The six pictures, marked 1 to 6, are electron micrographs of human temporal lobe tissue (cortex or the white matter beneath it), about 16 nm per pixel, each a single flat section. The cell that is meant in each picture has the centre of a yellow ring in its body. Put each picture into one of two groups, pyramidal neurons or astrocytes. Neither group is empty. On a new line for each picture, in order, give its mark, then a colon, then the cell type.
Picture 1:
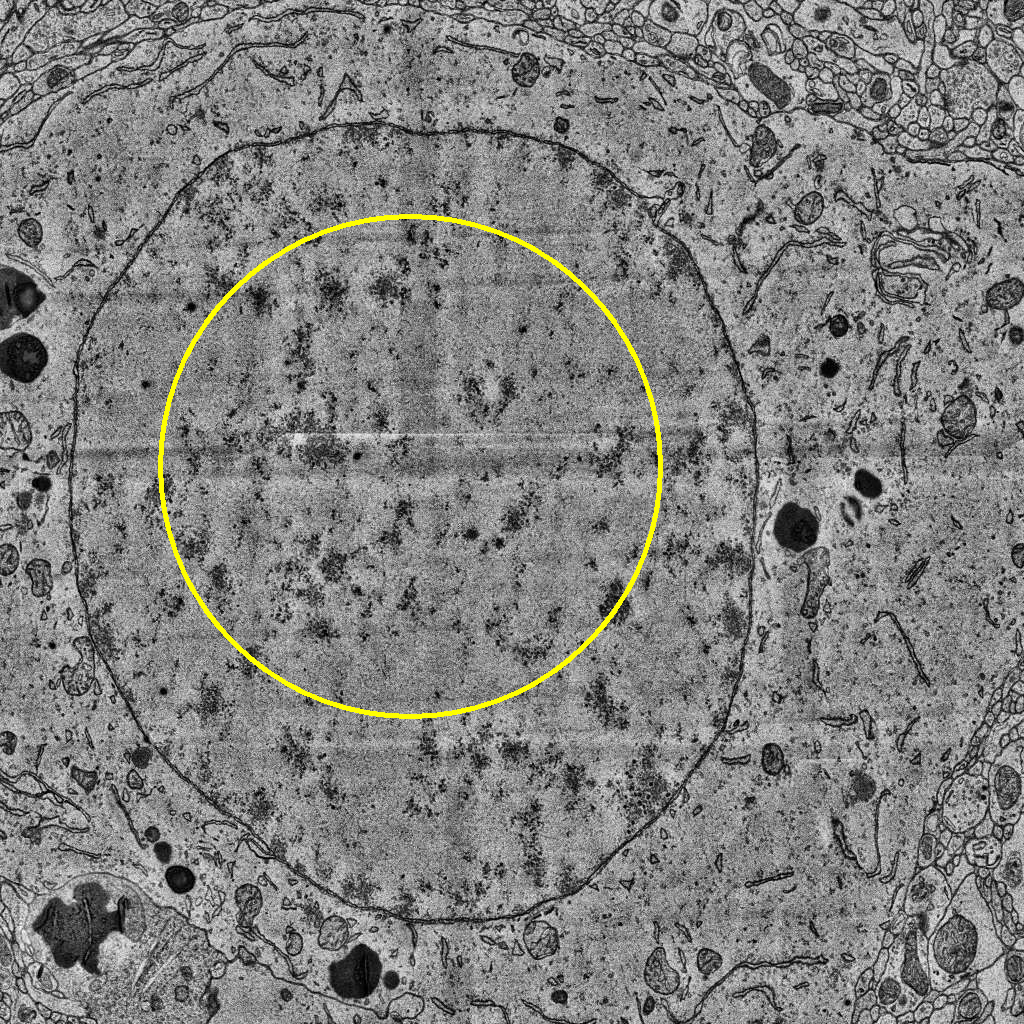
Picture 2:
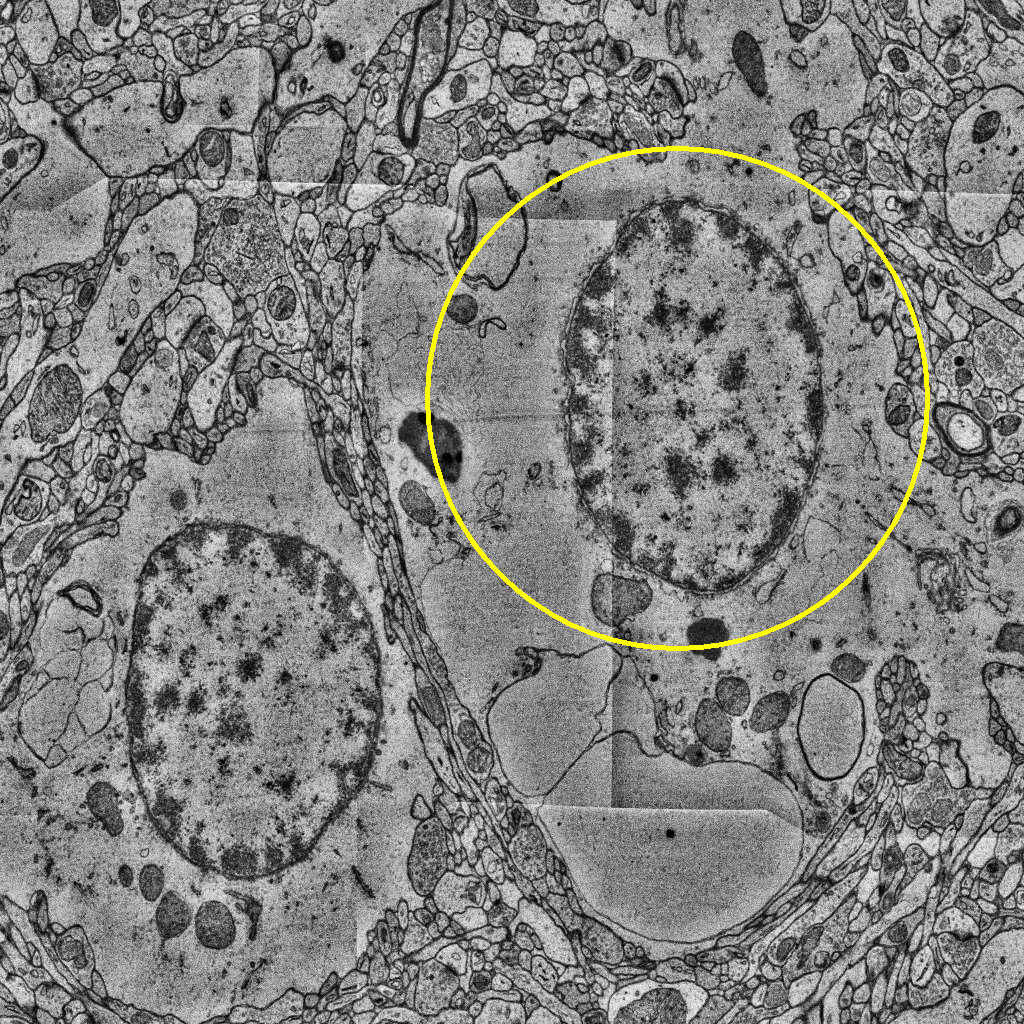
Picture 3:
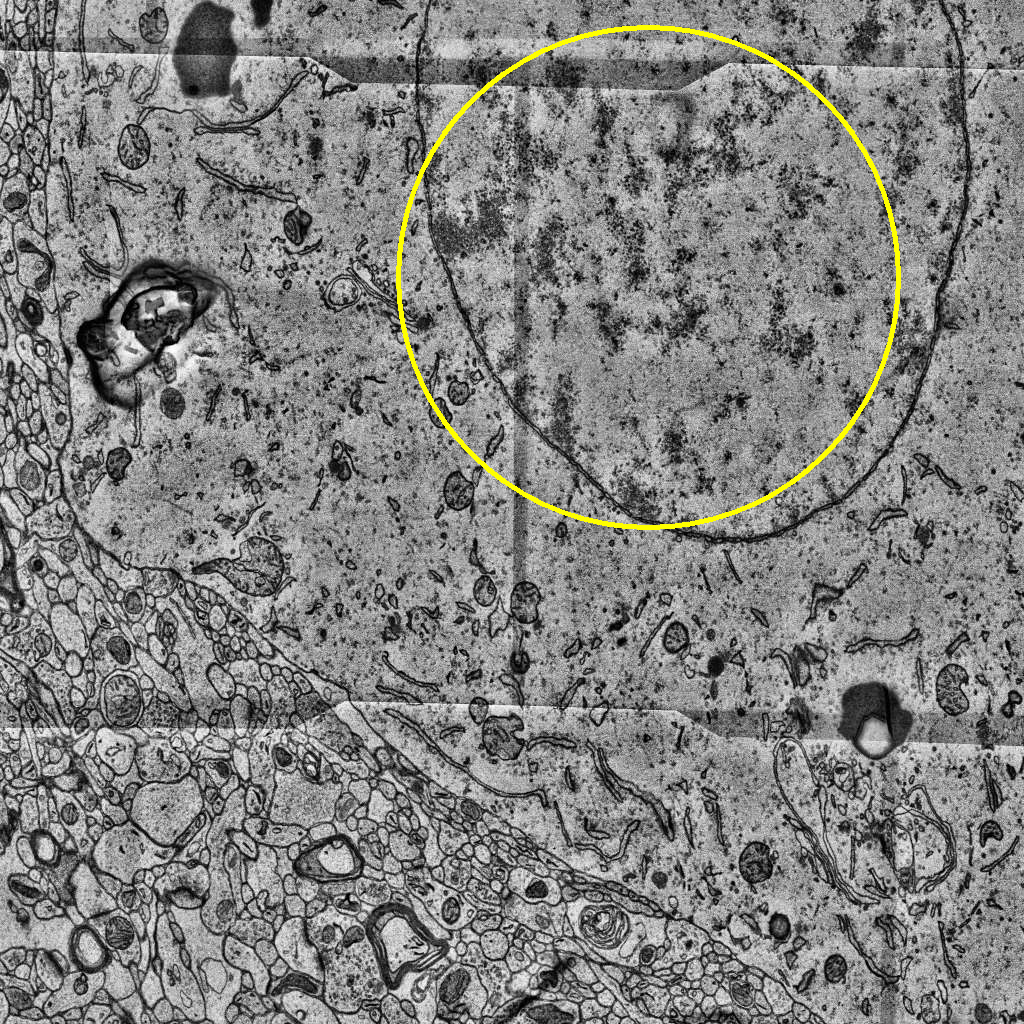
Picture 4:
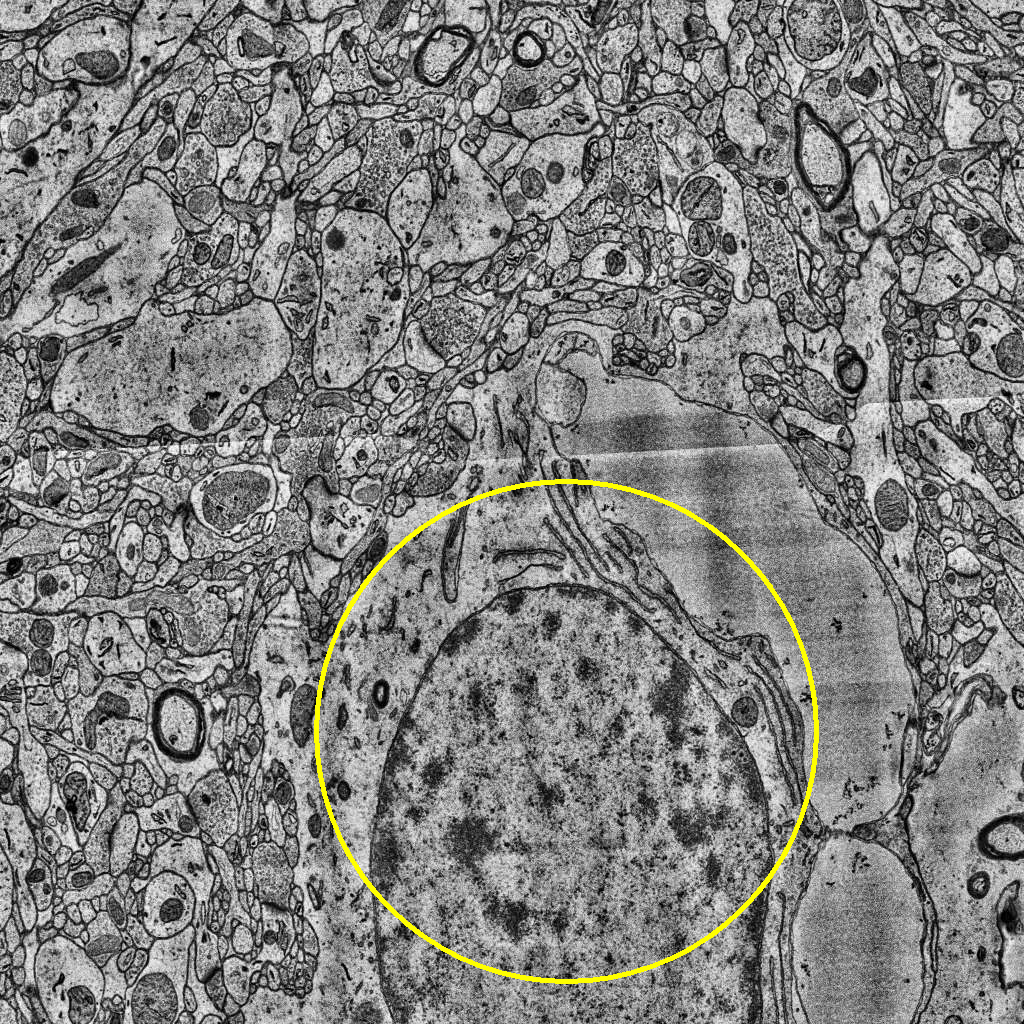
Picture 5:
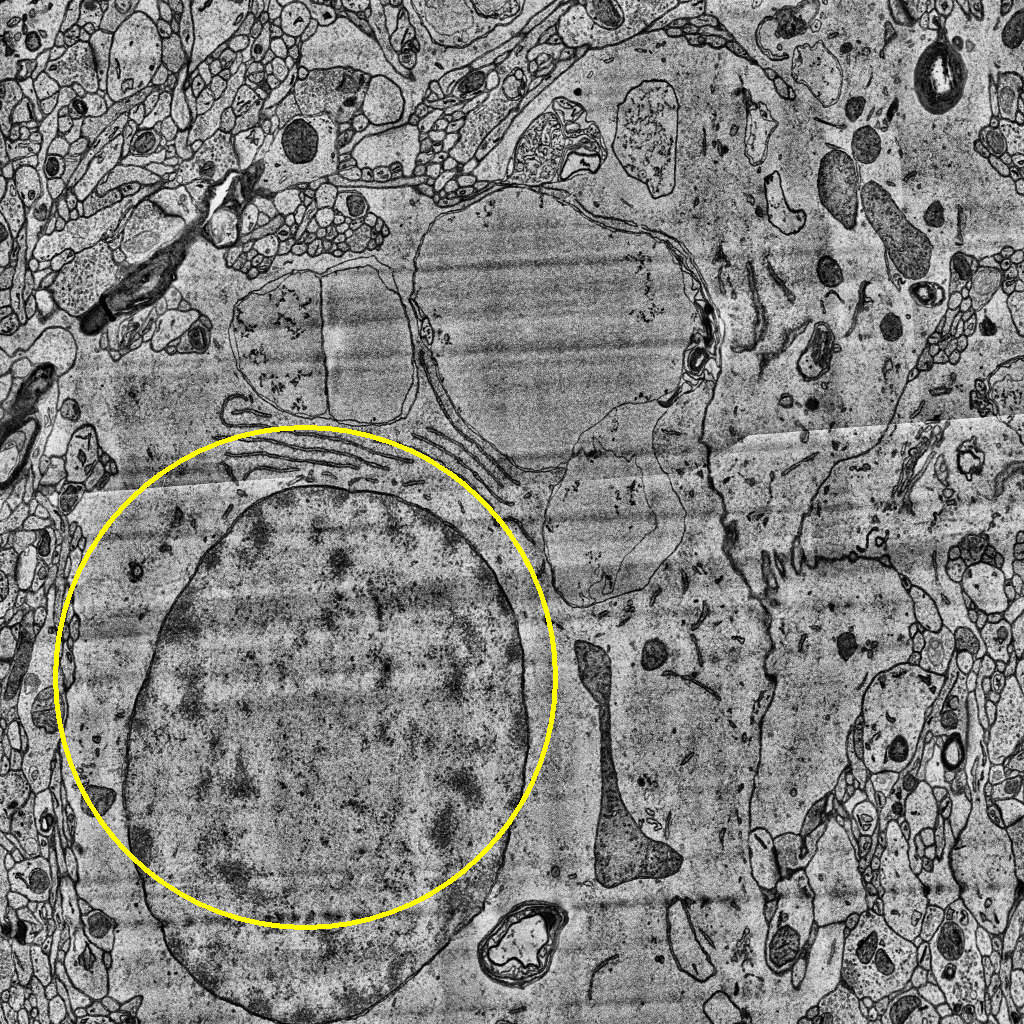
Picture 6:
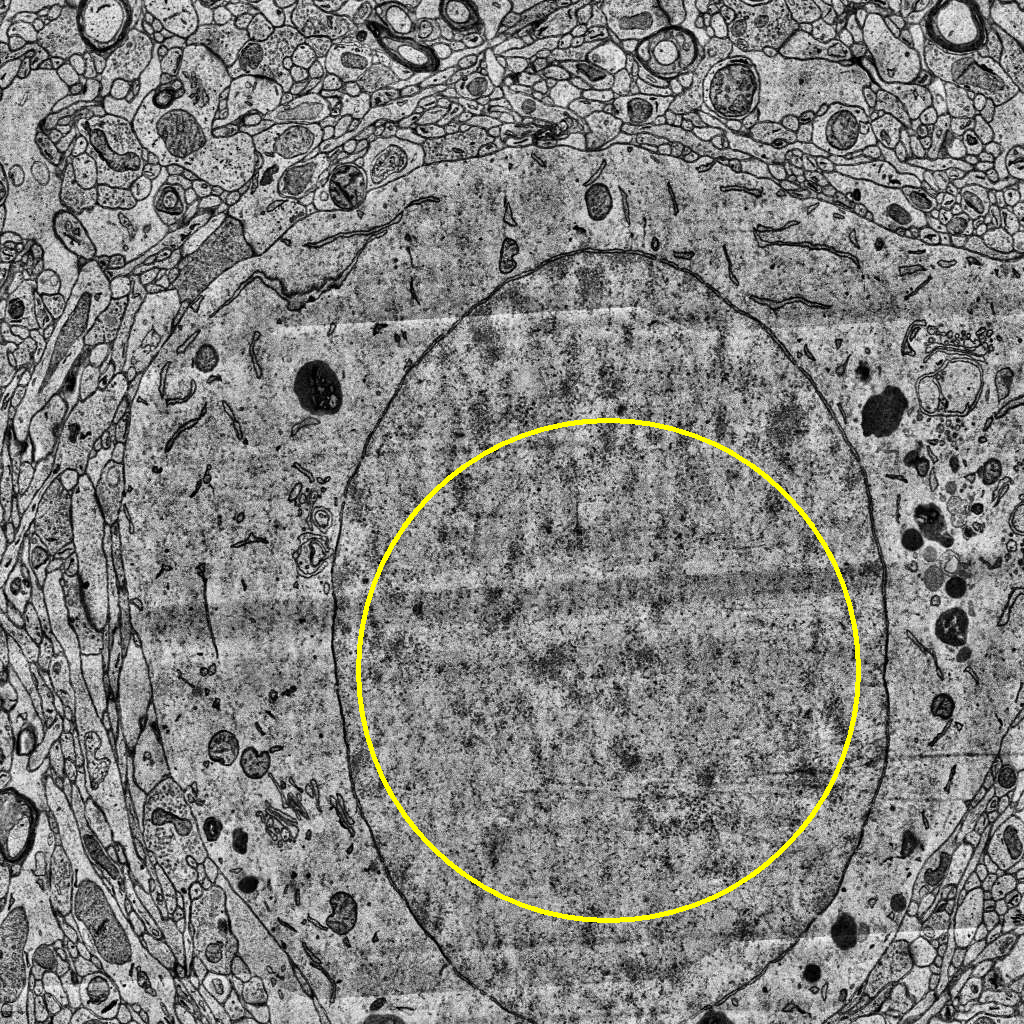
1: pyramidal neuron
2: astrocyte
3: pyramidal neuron
4: astrocyte
5: astrocyte
6: pyramidal neuron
